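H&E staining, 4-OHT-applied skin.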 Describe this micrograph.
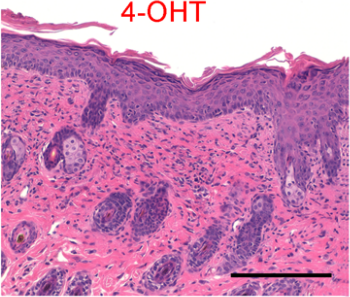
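The epidermis at the top is greatly thickened, forming a broad purple band of many layers of keratinocytes, with irregular downward projections reaching into the dermis. A thin layer of pink, loosely detached keratin lies on the surface. The dermis below is densely populated with purple nuclei scattered between pink collagen, far more cellular than normal. Hair follicles and pale, vacuolated sebaceous glands are cut in cross and oblique section in the lower dermis.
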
